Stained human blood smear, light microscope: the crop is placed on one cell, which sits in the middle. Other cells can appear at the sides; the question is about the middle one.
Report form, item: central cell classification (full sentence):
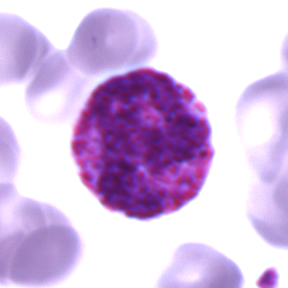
In this smear crop, the middle cell is a basophil.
